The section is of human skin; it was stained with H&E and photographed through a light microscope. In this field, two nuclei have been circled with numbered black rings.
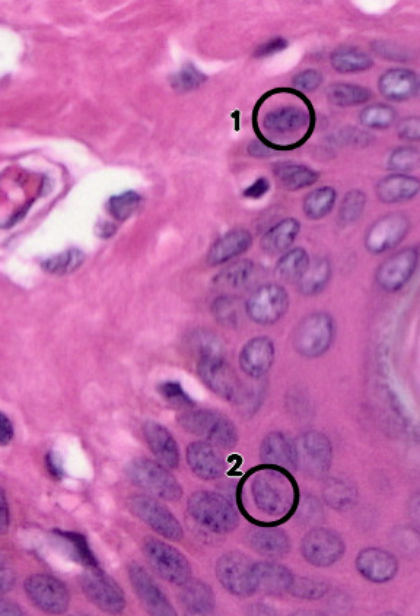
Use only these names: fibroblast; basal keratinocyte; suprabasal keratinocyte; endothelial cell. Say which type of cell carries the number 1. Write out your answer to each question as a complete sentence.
The cell given label 1 is a basal keratinocyte.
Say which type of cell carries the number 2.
In the marked set, the cell given number 2 is a suprabasal keratinocyte.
